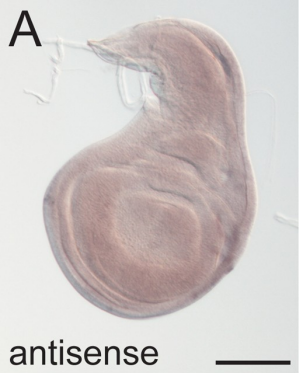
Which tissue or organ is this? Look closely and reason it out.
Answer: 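Wing imaginal discs. A flattened sac-like epithelial disc with concentric folds in its broad part. A narrower stalk-like region extending from one side.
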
